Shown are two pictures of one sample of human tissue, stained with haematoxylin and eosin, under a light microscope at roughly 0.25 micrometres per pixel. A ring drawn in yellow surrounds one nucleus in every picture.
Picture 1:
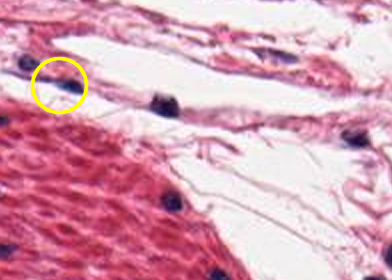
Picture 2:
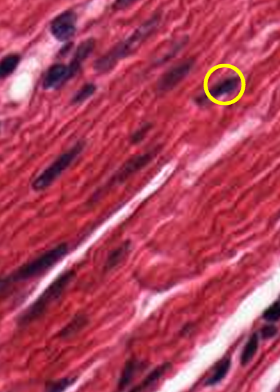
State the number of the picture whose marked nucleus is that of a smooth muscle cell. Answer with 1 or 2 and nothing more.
2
